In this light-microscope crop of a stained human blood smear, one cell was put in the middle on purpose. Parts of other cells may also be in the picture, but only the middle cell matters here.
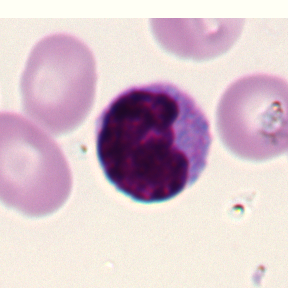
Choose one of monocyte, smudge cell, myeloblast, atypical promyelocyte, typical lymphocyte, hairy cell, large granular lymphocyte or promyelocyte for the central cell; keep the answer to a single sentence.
The middle position in this crop is taken by a large granular lymphocyte.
